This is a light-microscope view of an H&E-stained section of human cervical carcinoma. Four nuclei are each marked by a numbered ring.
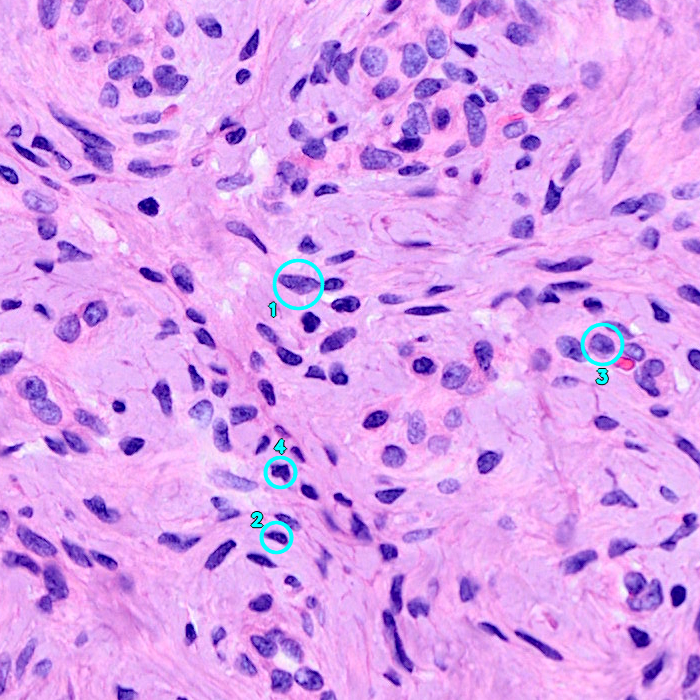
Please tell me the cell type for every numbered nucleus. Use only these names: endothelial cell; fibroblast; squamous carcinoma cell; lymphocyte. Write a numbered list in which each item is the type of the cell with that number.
1. fibroblast
2. fibroblast
3. endothelial cell
4. fibroblast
